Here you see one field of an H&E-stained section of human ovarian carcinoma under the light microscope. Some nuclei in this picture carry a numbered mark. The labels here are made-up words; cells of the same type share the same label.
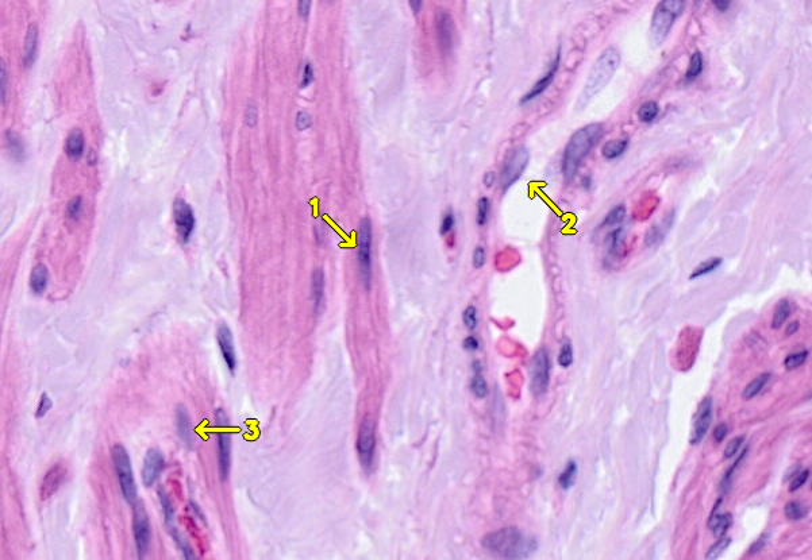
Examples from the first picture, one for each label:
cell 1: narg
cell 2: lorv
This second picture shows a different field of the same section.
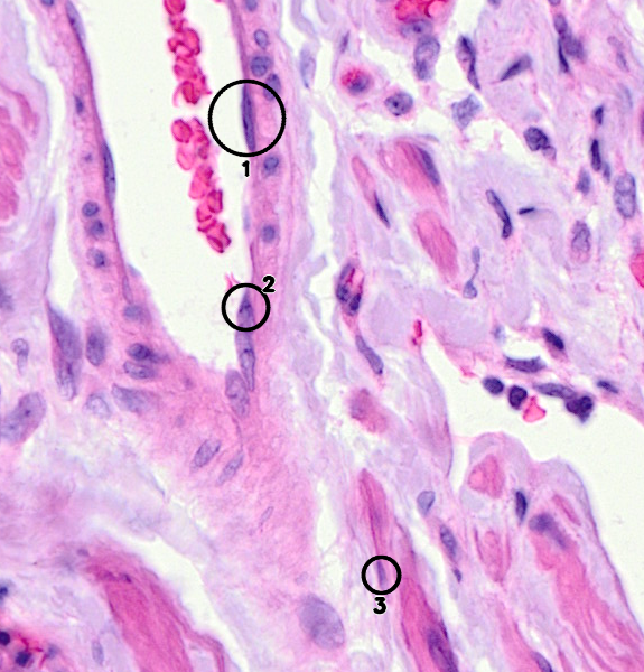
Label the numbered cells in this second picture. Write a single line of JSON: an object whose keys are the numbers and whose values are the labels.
{"1": "lorv", "2": "lorv", "3": "narg"}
